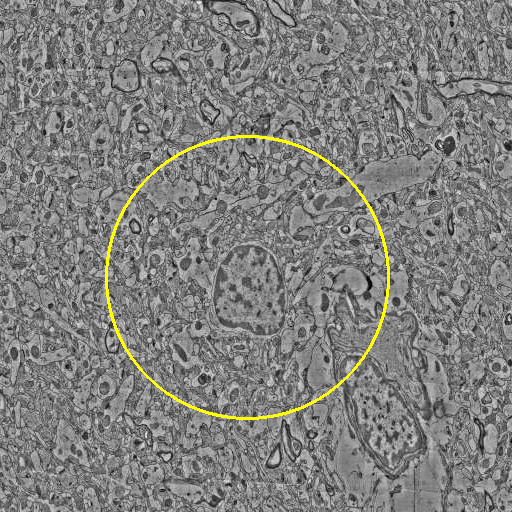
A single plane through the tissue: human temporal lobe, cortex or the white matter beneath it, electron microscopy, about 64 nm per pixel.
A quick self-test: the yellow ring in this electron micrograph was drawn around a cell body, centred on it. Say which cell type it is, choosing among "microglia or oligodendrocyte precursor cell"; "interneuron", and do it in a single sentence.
The yellow-ringed cell is a microglial cell or oligodendrocyte precursor cell.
